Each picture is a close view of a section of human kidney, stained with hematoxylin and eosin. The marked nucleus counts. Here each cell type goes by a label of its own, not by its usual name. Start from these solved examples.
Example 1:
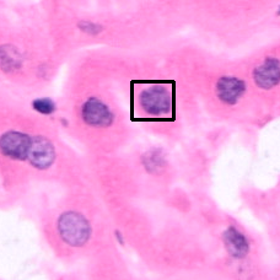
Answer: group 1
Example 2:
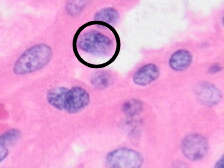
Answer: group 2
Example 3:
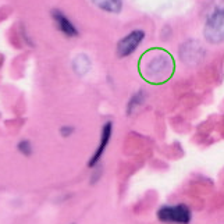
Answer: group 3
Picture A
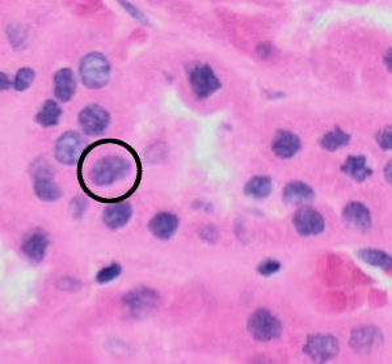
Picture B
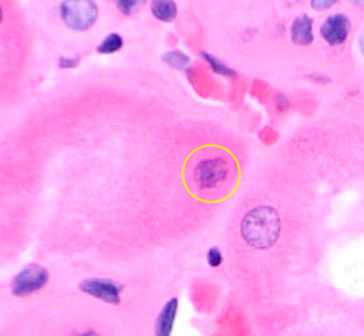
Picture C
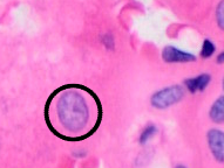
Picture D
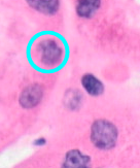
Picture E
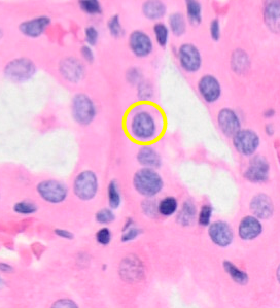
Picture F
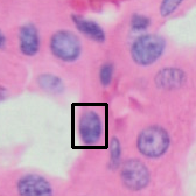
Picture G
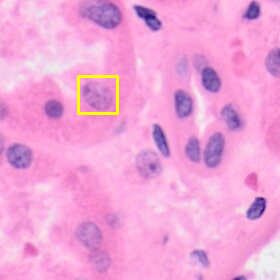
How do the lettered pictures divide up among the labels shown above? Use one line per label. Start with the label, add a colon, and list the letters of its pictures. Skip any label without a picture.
group 1: B, C, D, G
group 2: A, F
group 3: E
